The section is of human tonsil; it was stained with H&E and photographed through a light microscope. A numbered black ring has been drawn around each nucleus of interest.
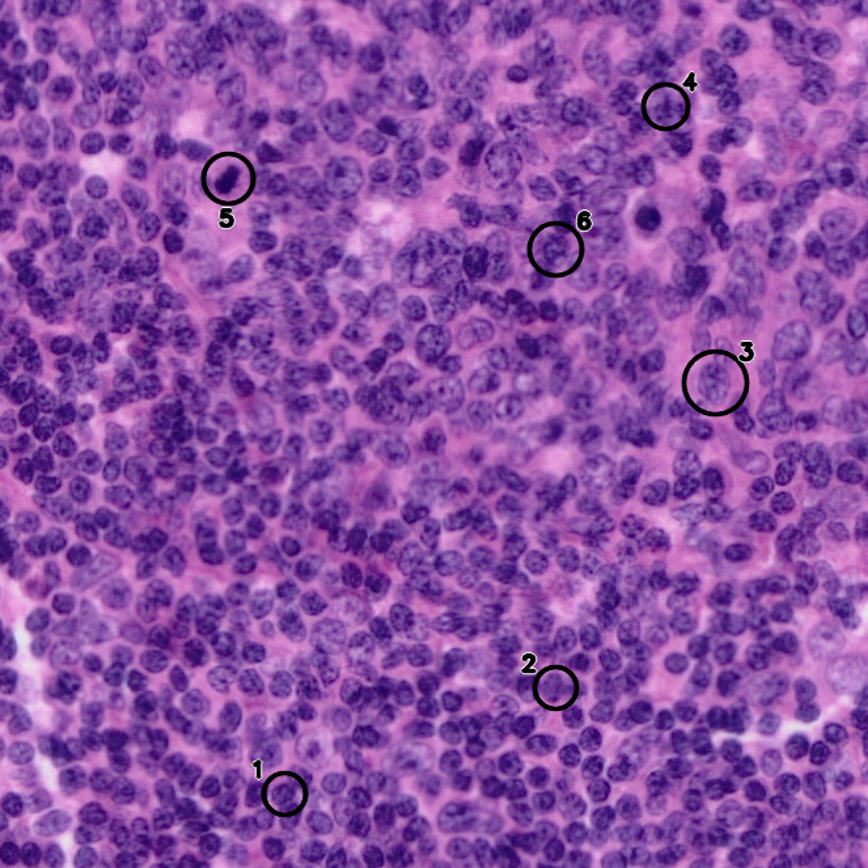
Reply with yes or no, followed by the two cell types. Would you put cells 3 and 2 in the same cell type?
No, cell 3 is a proliferating B cell, and as for cell 2, it is a small lymphocyte.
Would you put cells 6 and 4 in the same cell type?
Yes, the two numbered cells 6 and 4 are both proliferating B cells.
